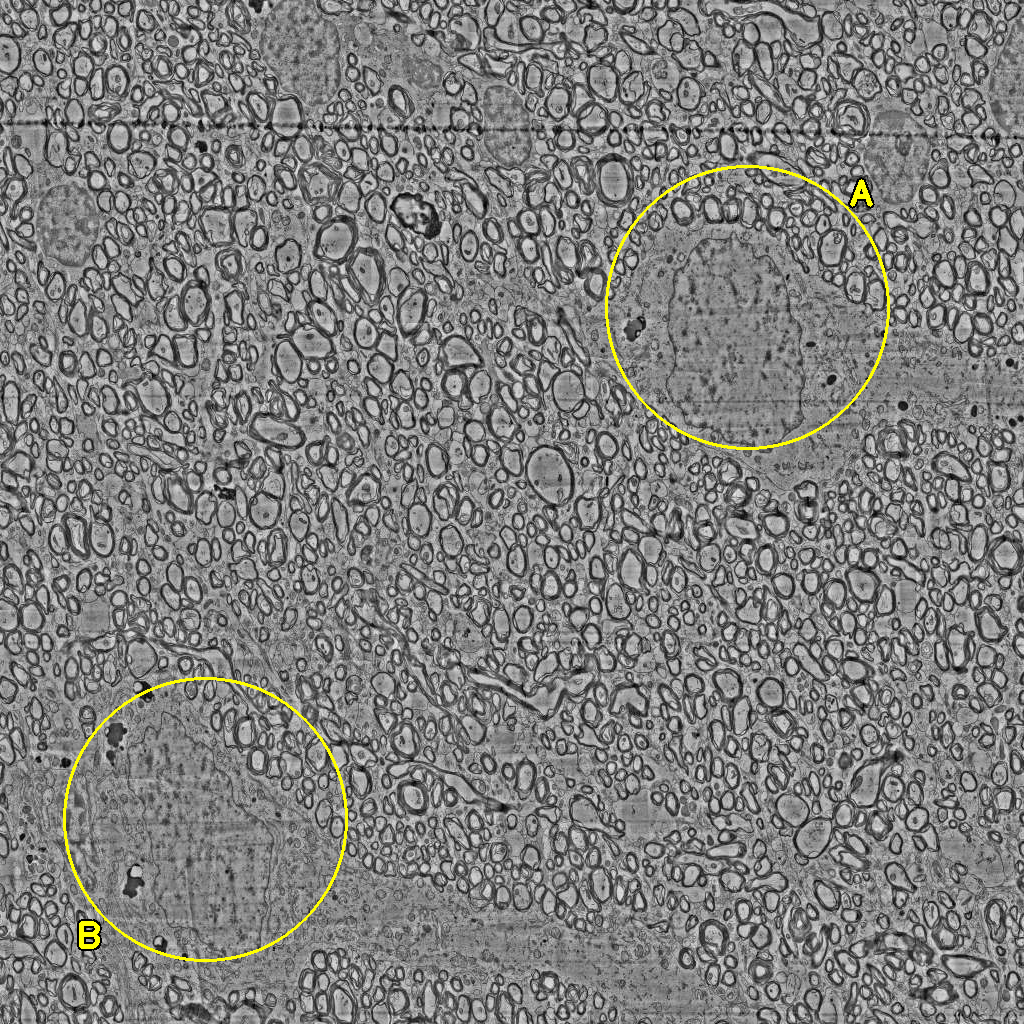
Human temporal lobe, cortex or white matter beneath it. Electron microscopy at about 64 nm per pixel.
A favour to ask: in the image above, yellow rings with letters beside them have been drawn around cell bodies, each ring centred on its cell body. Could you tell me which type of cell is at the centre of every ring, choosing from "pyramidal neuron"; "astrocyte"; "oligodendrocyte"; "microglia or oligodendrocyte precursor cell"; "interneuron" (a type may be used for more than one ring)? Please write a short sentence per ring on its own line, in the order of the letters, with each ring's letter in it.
Ring A holds a pyramidal neuron at its centre.
Ring B holds a pyramidal neuron at its centre.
